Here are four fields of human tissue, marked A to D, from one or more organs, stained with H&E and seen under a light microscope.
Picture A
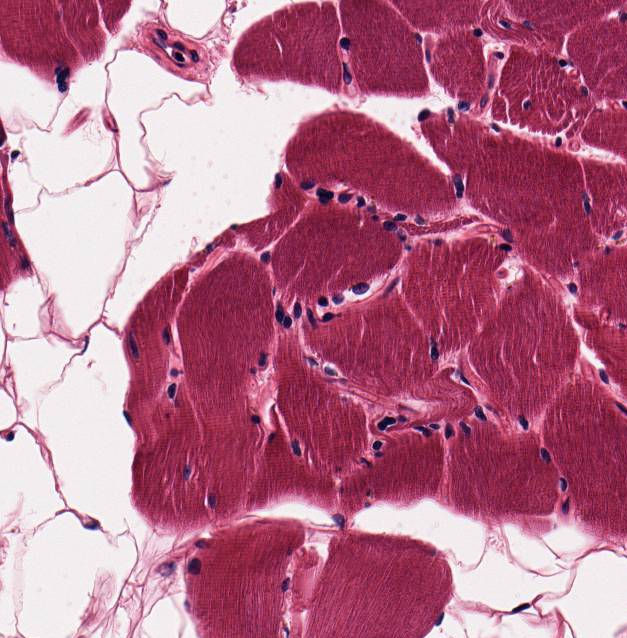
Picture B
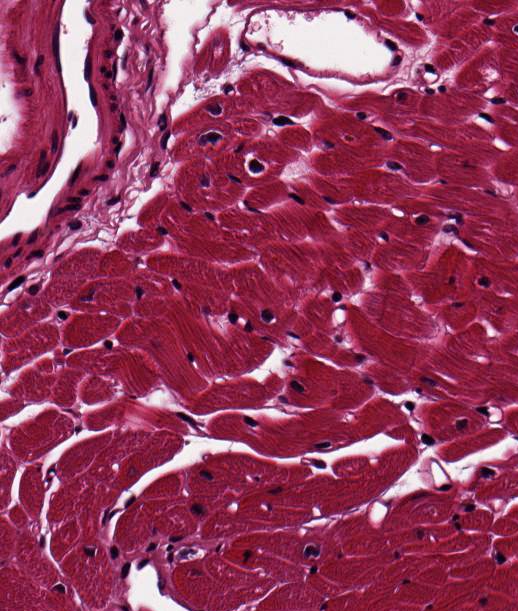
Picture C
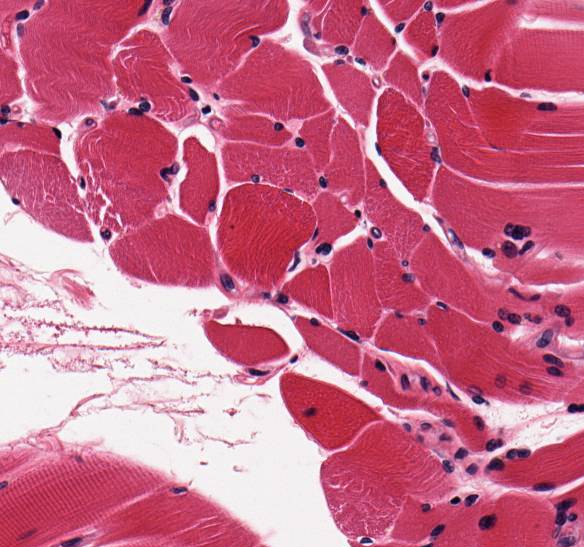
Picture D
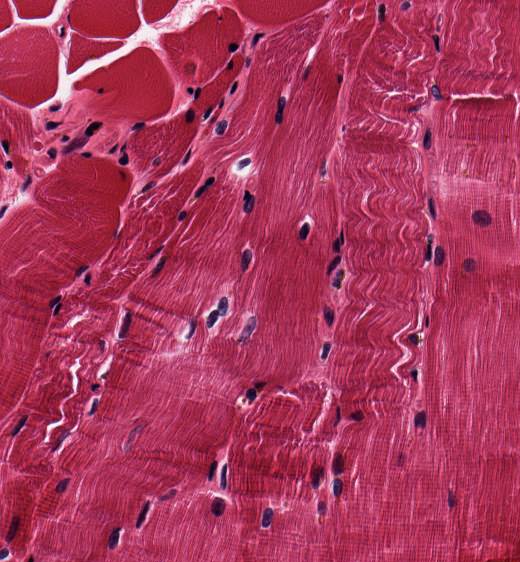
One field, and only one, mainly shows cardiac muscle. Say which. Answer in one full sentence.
Picture B mainly shows cardiac muscle.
